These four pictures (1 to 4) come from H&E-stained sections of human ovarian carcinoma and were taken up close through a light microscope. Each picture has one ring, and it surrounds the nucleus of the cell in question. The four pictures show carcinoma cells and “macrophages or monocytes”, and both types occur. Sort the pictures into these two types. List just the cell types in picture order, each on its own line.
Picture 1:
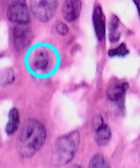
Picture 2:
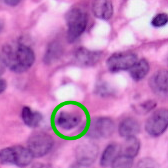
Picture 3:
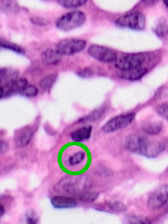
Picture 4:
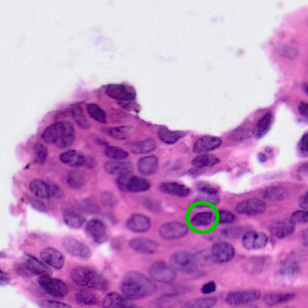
macrophage or monocyte
macrophage or monocyte
macrophage or monocyte
carcinoma cell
